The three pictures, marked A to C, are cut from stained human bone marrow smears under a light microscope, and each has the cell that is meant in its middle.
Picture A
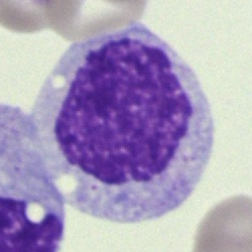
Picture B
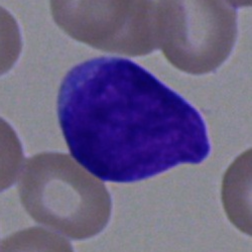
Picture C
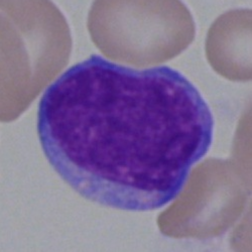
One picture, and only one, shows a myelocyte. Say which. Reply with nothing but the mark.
A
